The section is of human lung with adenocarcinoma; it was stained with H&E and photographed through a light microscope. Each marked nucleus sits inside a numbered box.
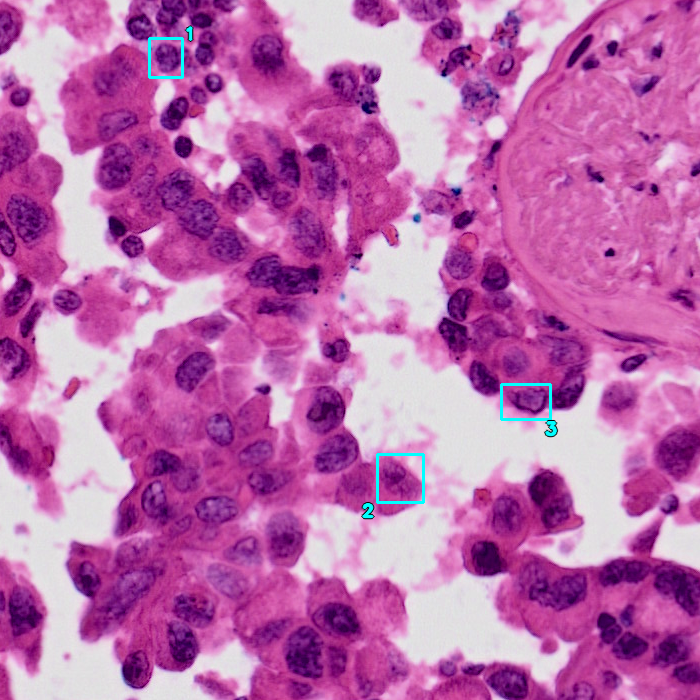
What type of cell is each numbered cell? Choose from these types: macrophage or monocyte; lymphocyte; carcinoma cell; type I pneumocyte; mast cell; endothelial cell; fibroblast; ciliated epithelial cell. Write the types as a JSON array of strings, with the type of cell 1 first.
["lymphocyte", "carcinoma cell", "carcinoma cell"]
